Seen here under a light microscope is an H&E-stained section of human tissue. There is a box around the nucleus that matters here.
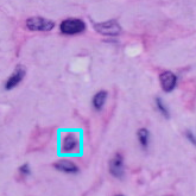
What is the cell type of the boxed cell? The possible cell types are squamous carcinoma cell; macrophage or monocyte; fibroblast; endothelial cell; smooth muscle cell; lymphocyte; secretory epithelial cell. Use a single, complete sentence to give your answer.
In short, the boxed cell on this section is a smooth muscle cell.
